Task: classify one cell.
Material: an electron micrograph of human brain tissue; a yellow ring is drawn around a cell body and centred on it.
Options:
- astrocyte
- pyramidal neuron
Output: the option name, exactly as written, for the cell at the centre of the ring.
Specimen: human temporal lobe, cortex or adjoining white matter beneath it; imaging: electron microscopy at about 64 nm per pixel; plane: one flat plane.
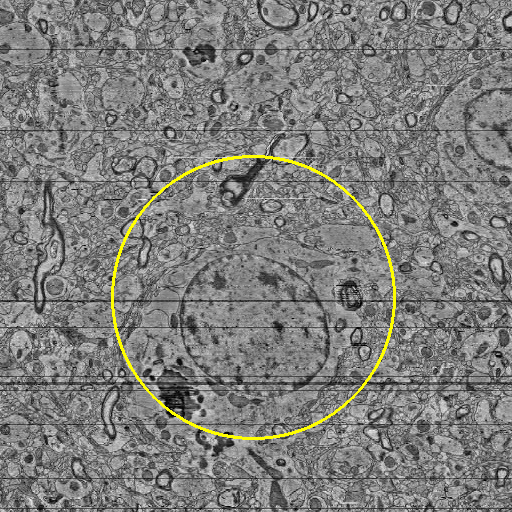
astrocyte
